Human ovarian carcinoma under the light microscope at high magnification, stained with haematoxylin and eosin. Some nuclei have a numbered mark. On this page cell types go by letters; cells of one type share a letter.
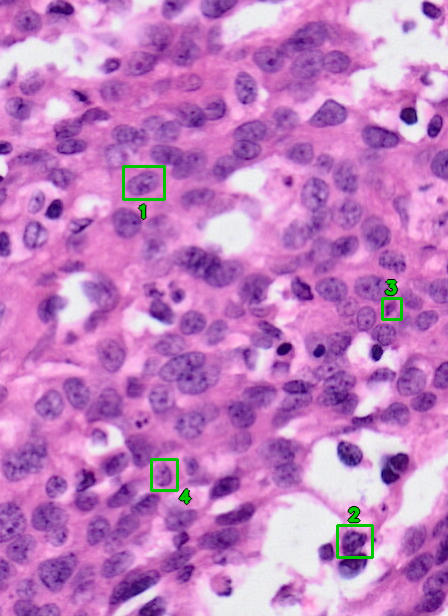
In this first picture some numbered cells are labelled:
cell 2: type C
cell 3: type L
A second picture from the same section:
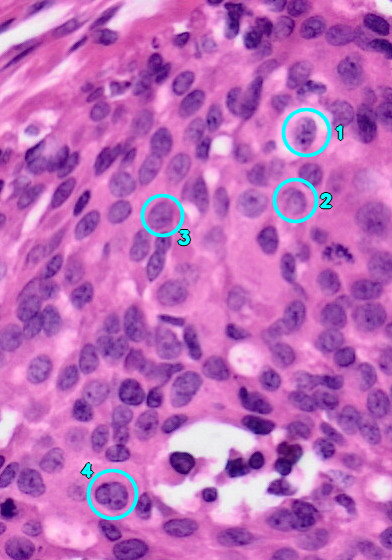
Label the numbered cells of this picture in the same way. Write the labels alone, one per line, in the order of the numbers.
type C
type L
type L
type L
